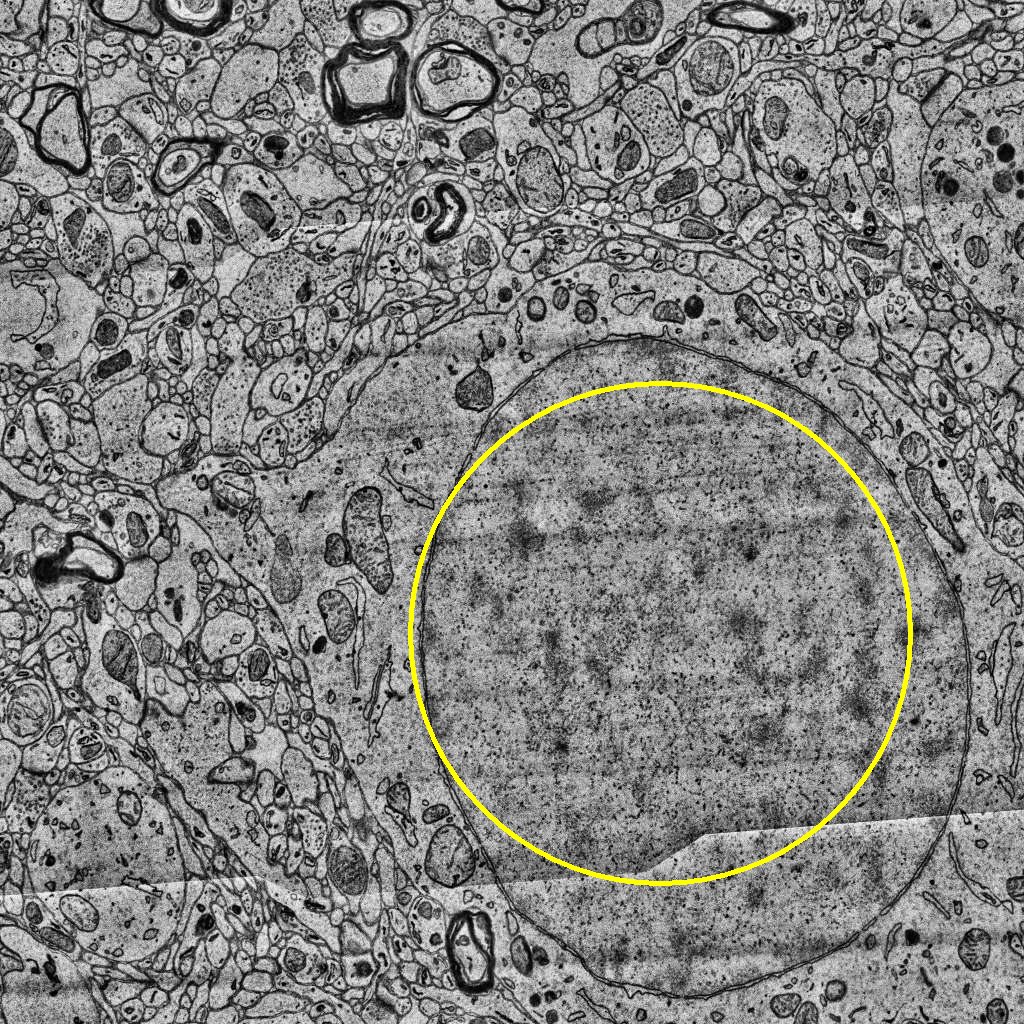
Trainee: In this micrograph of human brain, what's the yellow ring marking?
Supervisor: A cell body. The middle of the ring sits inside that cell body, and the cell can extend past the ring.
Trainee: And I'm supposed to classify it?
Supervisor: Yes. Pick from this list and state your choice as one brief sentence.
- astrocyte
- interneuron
The cell at the ring's center is an interneuron.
